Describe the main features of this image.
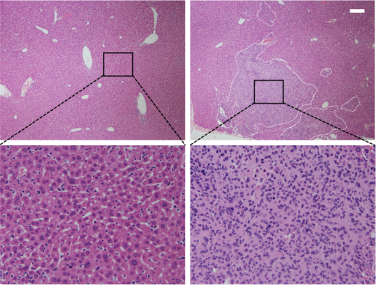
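These are sections of liver. On the left, the pink hepatocytes form regular cords around scattered vessels.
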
